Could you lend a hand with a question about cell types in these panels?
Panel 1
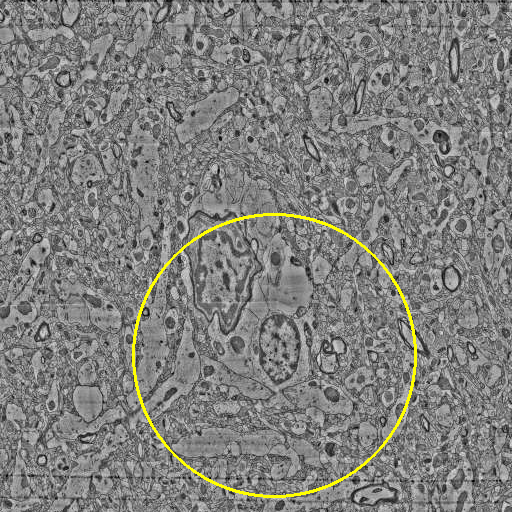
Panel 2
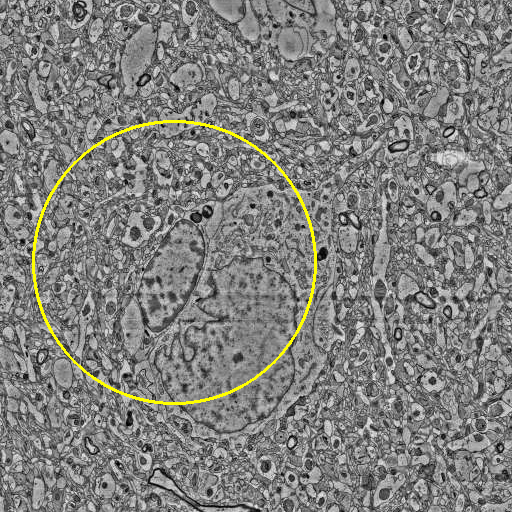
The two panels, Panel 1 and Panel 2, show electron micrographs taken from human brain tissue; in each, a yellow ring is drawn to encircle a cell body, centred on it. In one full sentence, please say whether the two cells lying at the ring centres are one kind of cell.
Yes, the cells at the ring centres in the two panels are one kind of cell.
